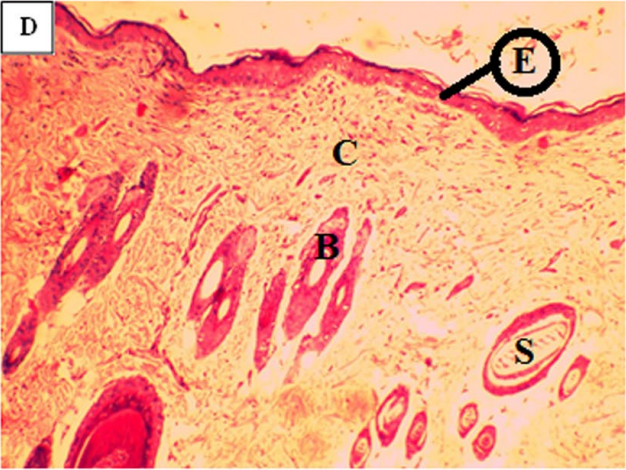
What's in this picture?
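This section shows skin with a continuous epidermis over collagen tissue containing round and oval structures. The epidermis forms a thin, darker pink layer along the upper surface. Beneath it the collagen tissue is pale pink and finely fibrous, with scattered small elongated nuclei and no dense accumulation of inflammatory cells. Within this tissue lie several rounded and elongated profiles with pink walls, cut across or obliquely, arranged in a loose group, together with a ringed oval structure toward one side. The overall layered architecture of the skin appears orderly.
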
